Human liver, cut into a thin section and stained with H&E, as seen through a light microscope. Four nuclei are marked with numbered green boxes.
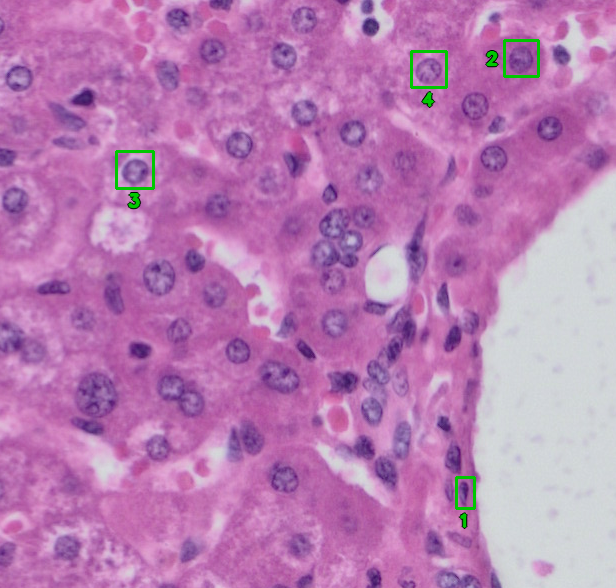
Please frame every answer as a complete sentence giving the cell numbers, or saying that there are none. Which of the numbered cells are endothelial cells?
Not one numbered cell here is one of the endothelial cells.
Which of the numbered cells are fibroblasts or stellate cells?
Only one choice fits: cell 1 is a fibroblast or stellate cell, and no other.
